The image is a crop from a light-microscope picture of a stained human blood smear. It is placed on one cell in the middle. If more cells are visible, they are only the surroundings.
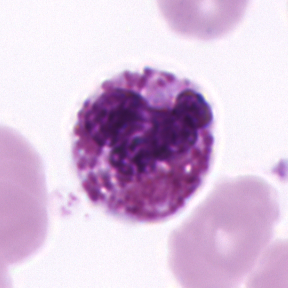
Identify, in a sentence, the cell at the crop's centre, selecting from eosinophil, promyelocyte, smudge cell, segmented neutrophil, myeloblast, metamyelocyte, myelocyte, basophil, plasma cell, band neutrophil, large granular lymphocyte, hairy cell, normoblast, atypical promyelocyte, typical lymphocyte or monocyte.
By classification, the middle cell of this crop is an eosinophil.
